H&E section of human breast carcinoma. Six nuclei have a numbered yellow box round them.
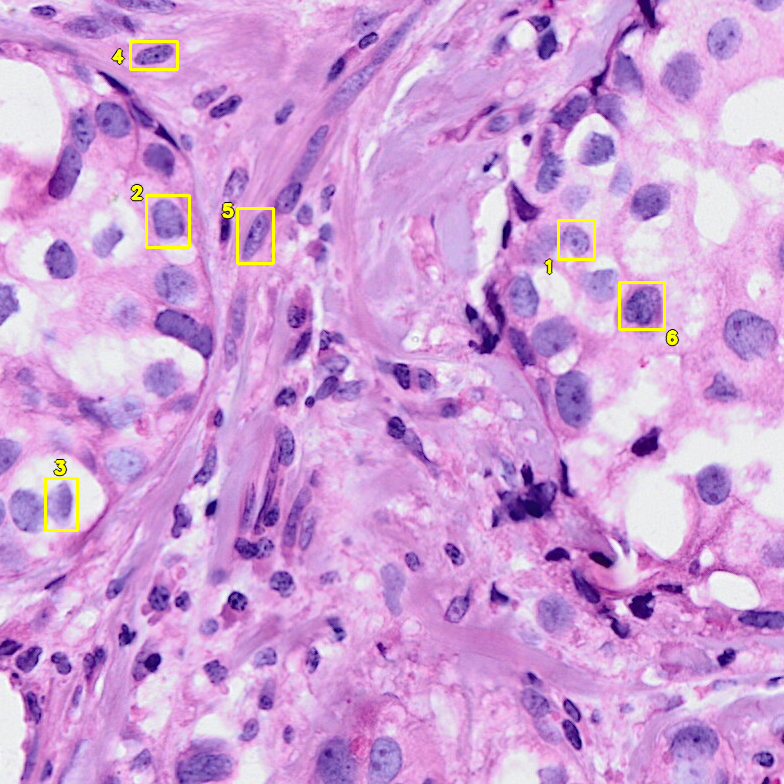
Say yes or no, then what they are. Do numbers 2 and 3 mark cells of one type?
Yes, both of the numbered cells concerned, 2 and 3, are carcinoma cells.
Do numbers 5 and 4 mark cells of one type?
No, cell 5 is recognized as an endothelial cell, and cell 4 as a mast cell.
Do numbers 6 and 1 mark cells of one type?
Yes: cells 6 and 1 are both carcinoma cells.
